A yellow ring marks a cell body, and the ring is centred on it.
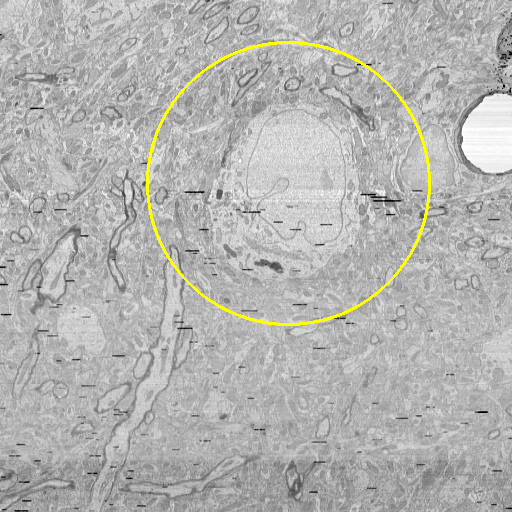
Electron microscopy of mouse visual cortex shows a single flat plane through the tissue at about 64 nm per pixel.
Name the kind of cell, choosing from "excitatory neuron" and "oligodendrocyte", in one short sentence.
The marked cell body belongs to an excitatory neuron.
